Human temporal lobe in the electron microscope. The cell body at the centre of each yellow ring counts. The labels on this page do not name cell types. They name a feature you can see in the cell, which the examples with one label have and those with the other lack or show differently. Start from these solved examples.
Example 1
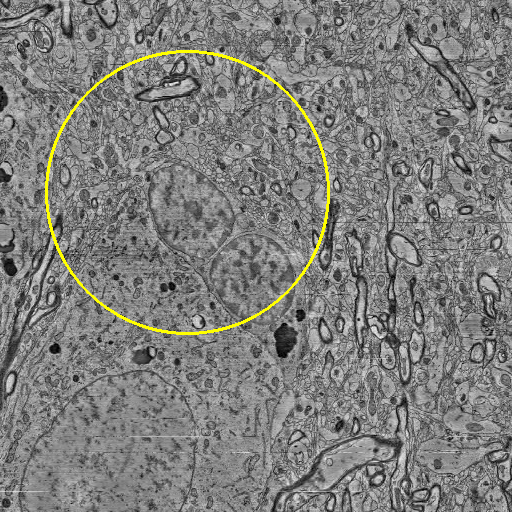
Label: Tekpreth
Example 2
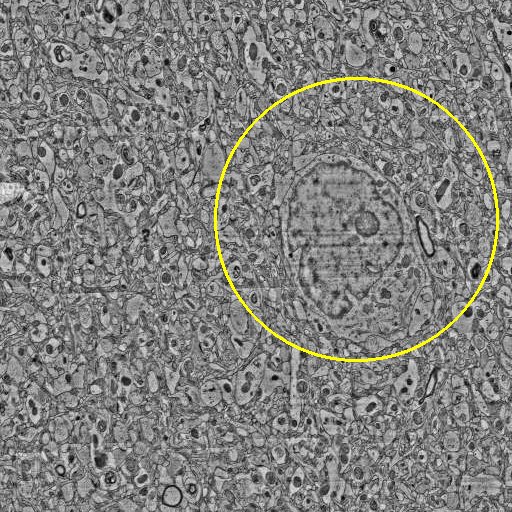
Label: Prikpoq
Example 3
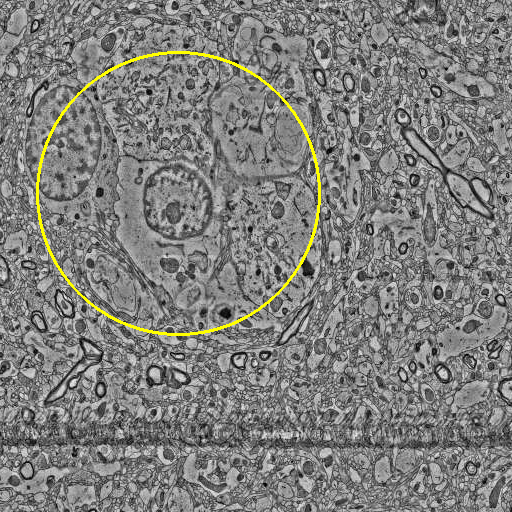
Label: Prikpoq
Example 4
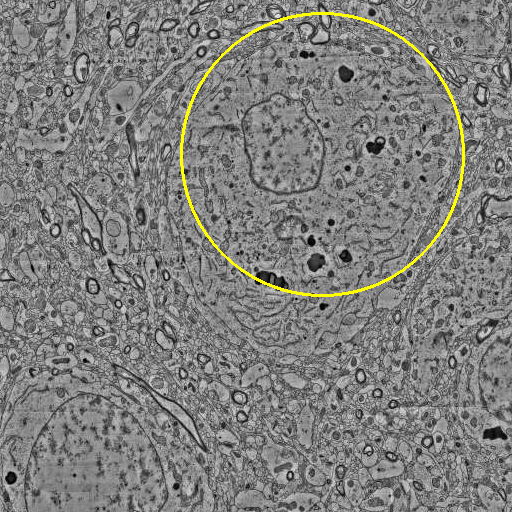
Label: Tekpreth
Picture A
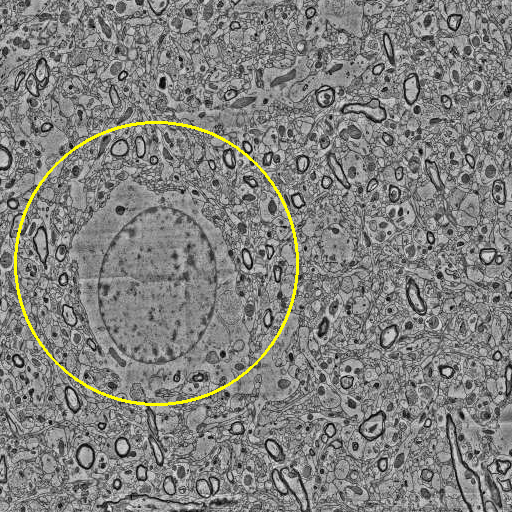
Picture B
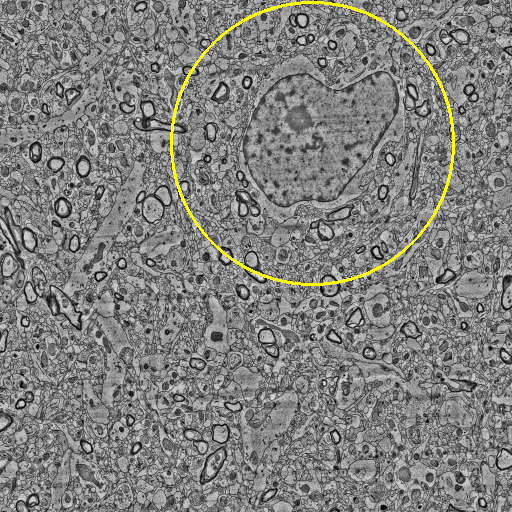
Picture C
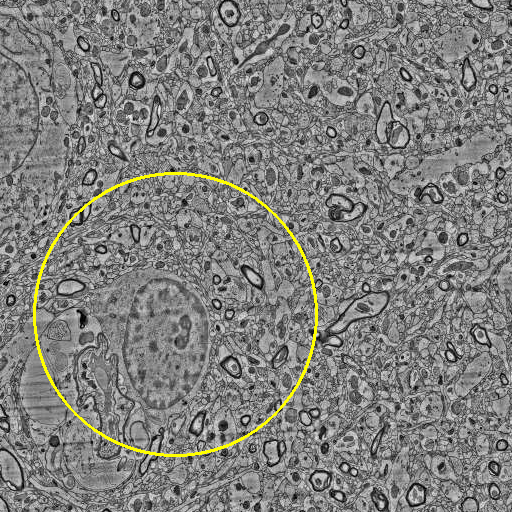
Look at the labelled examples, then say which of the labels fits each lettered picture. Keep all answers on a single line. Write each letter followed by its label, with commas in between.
A Tekpreth, B Prikpoq, C Prikpoq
